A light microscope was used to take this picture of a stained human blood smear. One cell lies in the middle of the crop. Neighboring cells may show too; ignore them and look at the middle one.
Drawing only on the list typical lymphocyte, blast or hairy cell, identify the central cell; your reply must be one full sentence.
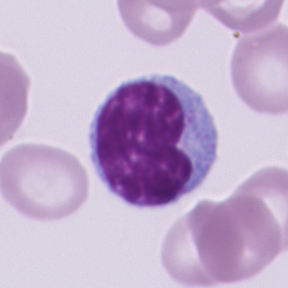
The cell in the exact centre of the crop is a typical lymphocyte.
